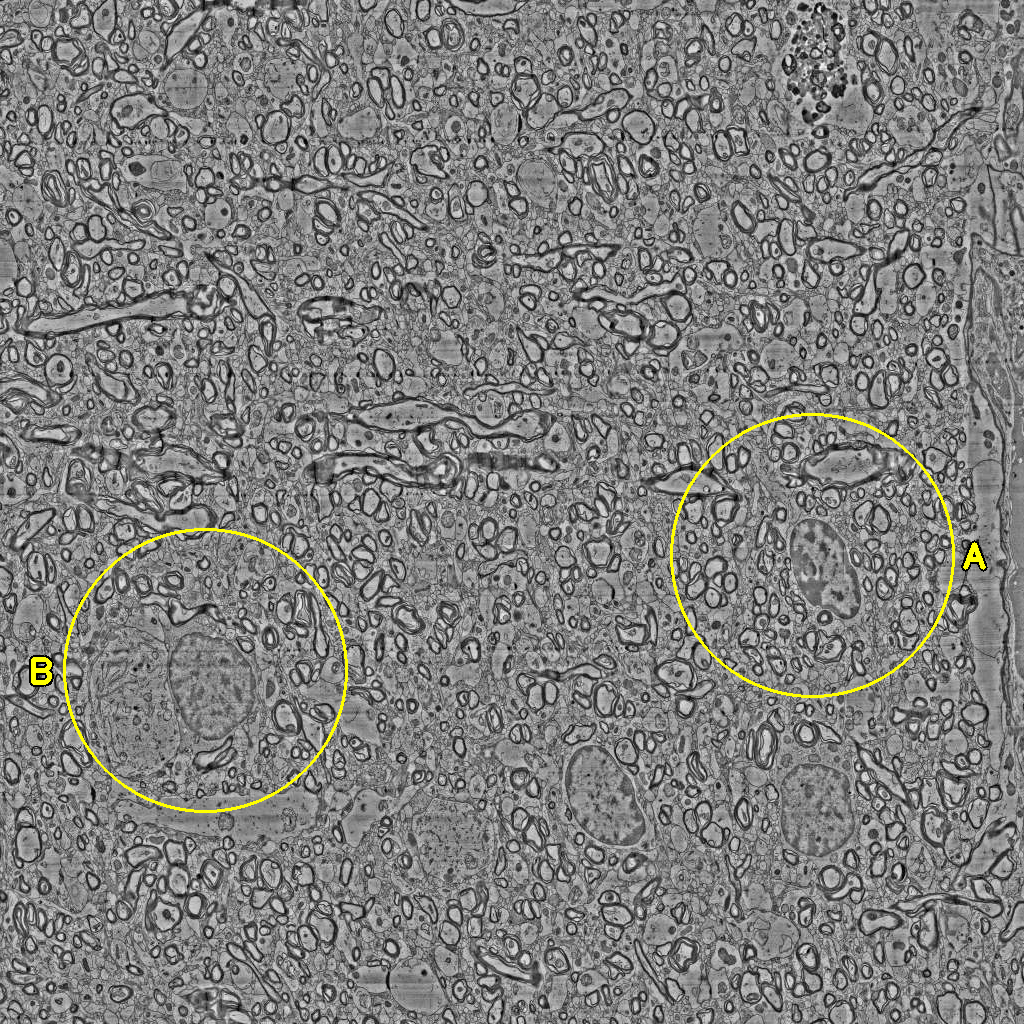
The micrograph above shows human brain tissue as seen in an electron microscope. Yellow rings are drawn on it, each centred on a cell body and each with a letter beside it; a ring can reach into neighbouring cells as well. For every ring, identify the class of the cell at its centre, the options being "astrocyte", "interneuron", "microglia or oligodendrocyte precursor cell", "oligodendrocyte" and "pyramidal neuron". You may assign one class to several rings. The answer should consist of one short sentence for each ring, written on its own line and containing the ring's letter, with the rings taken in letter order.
The ring lettered A is centred on a microglial cell or oligodendrocyte precursor cell.
The ring lettered B is centred on an oligodendrocyte.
